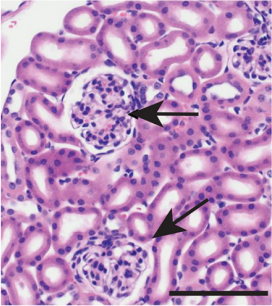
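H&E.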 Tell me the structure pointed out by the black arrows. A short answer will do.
Glomeruli.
